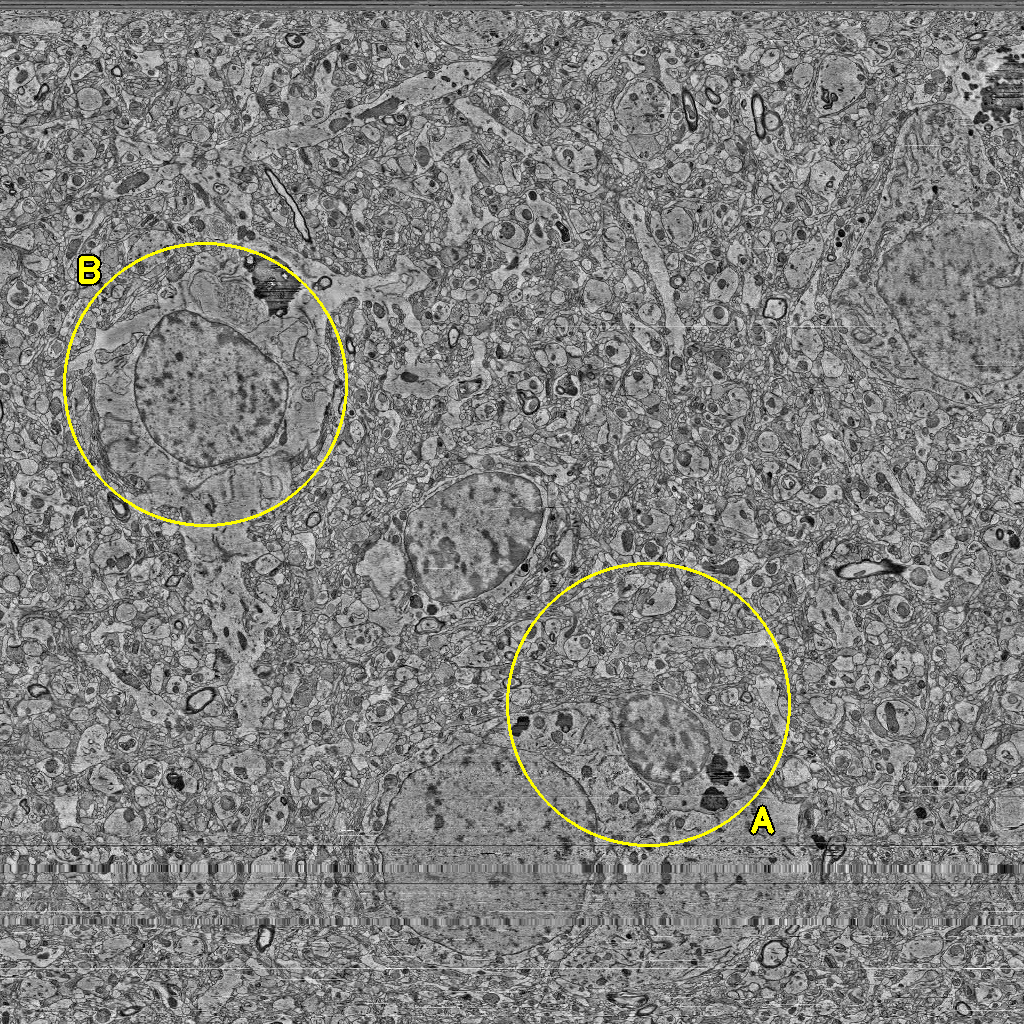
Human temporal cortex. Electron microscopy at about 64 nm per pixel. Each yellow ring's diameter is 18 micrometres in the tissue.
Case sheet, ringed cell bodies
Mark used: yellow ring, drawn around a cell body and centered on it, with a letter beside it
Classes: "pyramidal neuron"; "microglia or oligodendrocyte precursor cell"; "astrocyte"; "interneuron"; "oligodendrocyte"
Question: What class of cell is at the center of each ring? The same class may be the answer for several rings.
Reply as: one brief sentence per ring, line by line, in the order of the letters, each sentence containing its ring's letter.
Ring A has an oligodendrocyte at its center.
Ring B has an astrocyte at its center.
